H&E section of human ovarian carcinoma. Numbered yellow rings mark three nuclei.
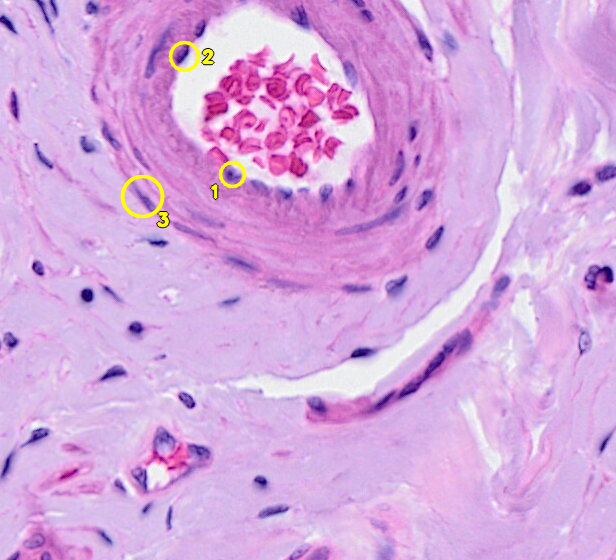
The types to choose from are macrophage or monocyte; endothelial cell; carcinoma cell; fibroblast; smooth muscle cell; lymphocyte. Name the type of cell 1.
endothelial cell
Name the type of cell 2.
endothelial cell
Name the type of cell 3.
smooth muscle cell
